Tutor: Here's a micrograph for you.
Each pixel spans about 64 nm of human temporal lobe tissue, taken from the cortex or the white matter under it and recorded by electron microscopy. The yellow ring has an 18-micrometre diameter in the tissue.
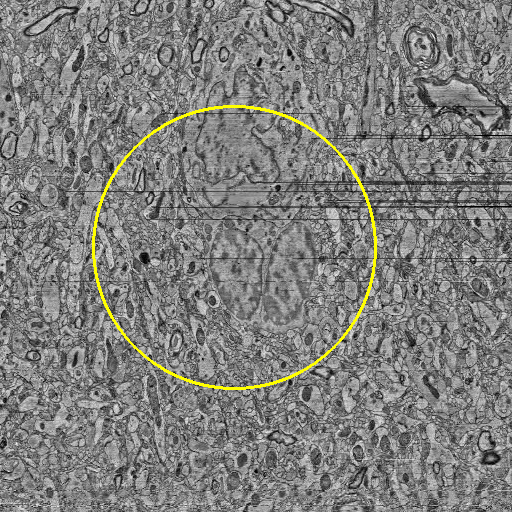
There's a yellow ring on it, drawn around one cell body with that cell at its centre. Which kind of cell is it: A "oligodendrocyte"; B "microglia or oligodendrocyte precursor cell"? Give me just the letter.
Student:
A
